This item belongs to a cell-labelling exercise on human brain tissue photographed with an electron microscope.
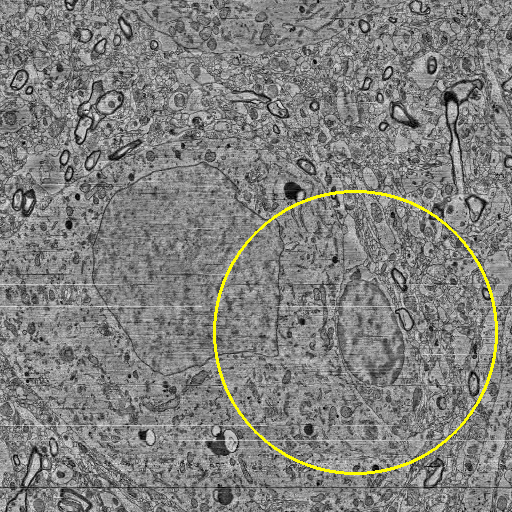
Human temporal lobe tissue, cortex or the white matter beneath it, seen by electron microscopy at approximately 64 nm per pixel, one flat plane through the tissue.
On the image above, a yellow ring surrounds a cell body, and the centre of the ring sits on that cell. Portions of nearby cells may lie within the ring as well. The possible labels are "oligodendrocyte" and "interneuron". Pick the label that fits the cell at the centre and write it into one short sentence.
This cell should be labelled as an oligodendrocyte.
